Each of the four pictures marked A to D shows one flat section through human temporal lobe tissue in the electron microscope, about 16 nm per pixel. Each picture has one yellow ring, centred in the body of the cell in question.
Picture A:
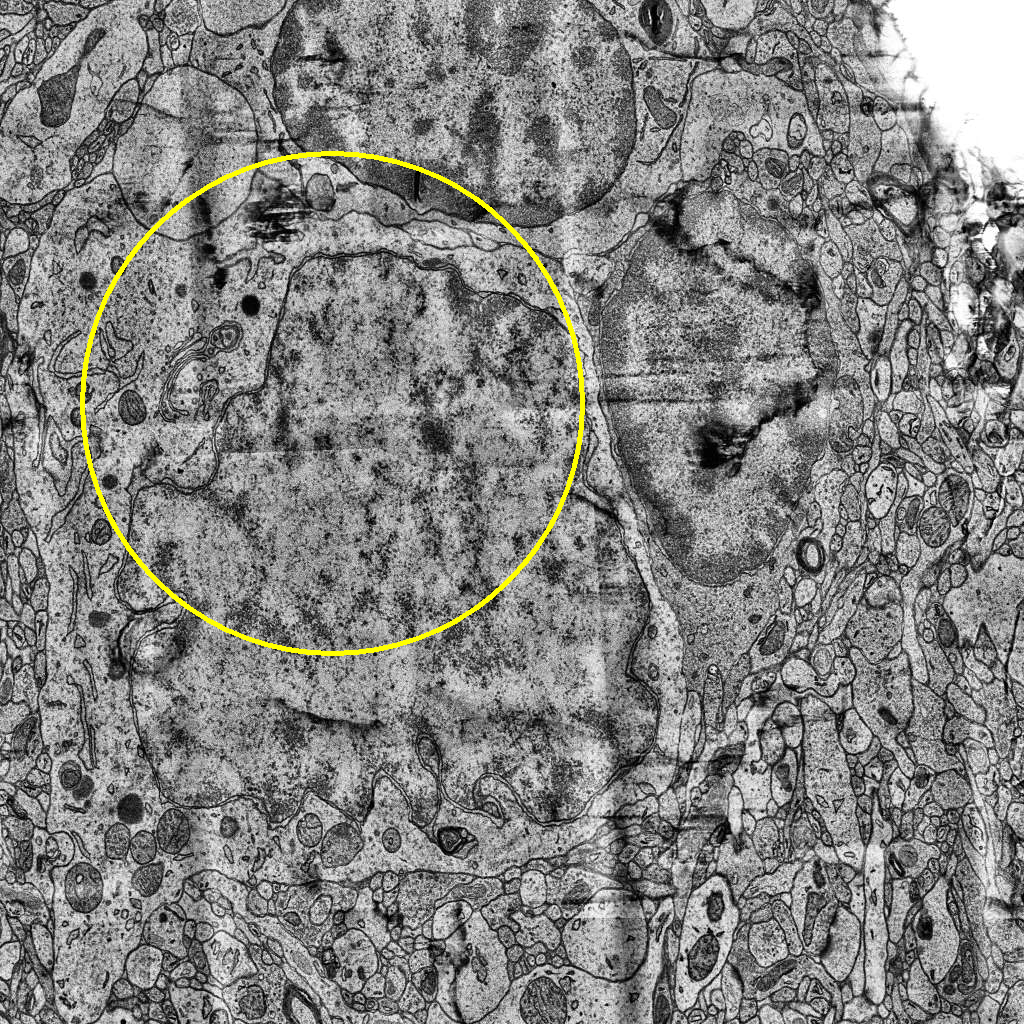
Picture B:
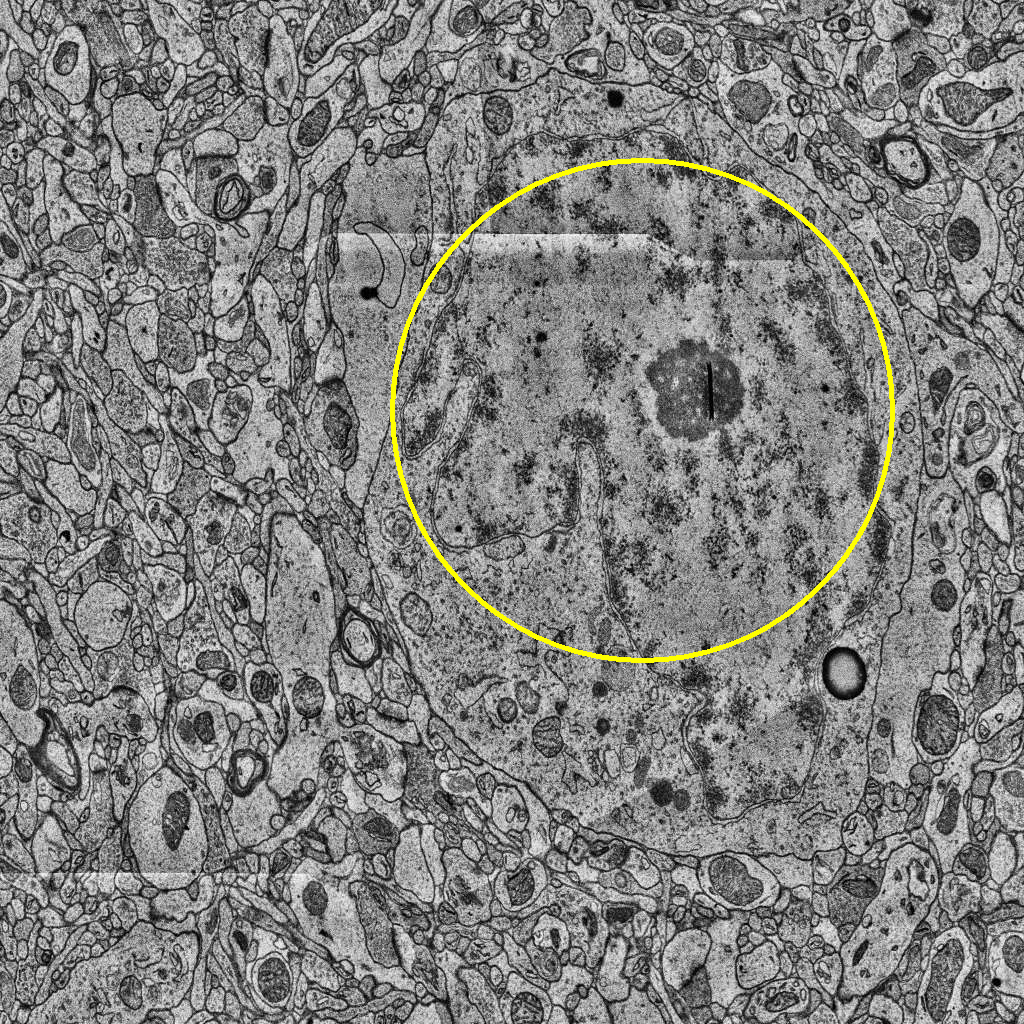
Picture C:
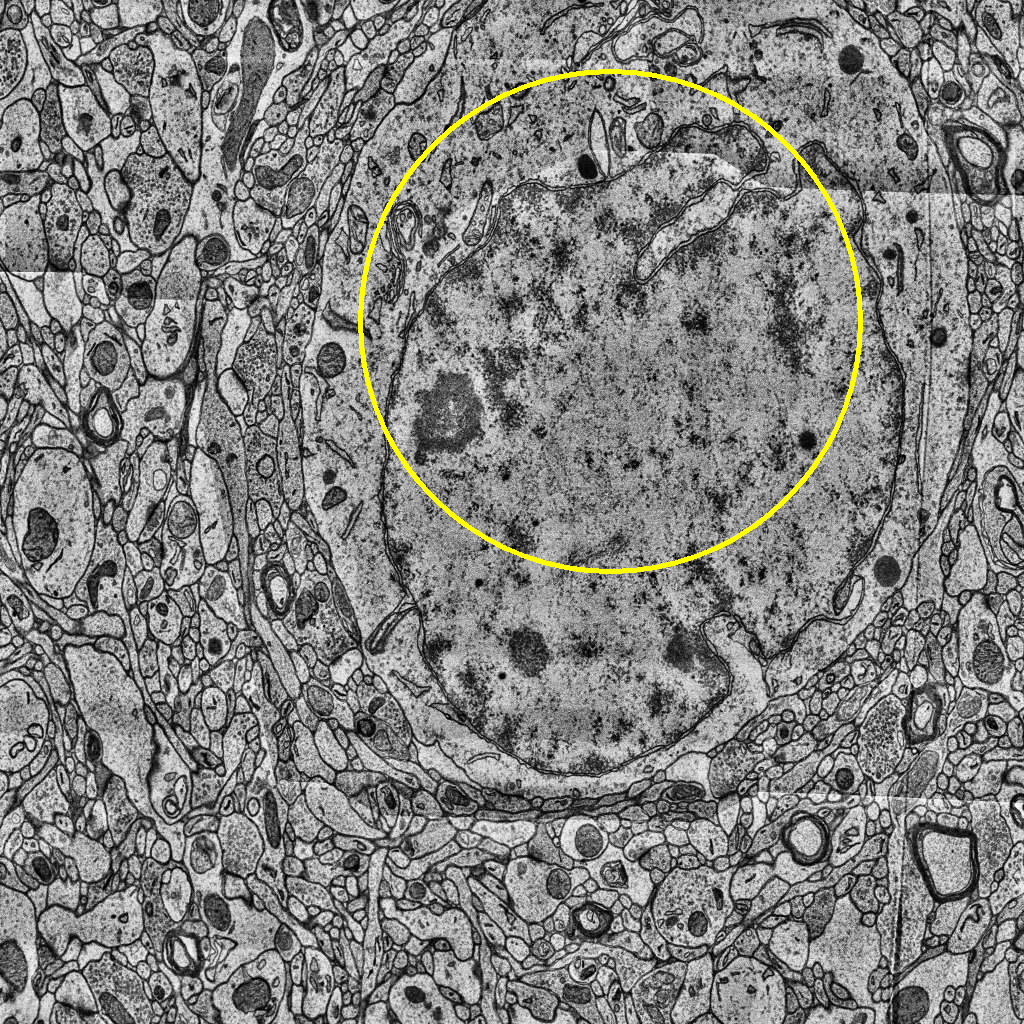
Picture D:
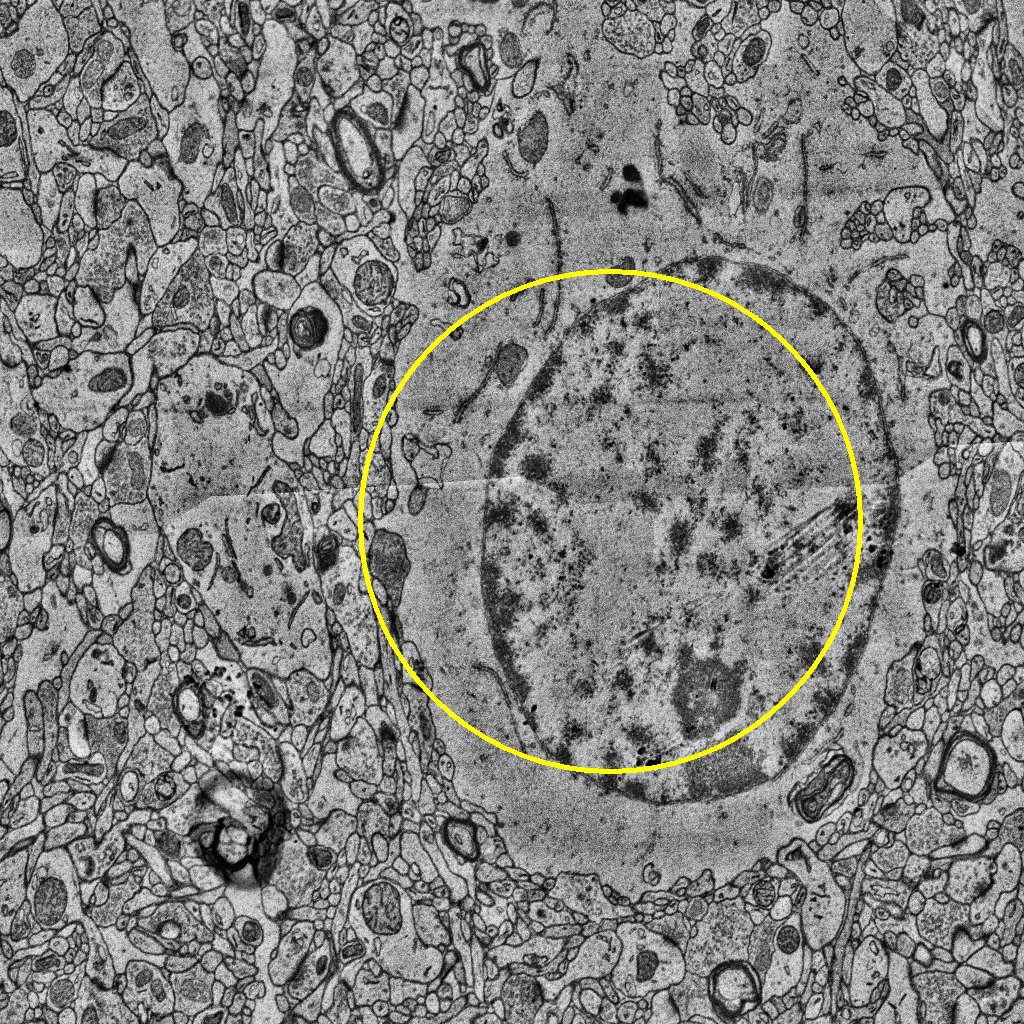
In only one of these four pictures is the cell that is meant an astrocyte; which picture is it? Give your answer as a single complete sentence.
It is picture D that shows the astrocyte.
